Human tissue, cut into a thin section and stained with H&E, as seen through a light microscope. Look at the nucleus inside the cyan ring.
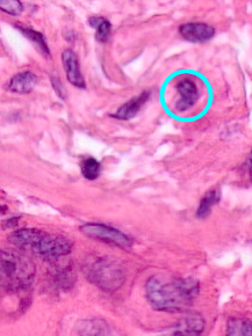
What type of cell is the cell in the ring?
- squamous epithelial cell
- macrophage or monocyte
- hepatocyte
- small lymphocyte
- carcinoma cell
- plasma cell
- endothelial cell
plasma cell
